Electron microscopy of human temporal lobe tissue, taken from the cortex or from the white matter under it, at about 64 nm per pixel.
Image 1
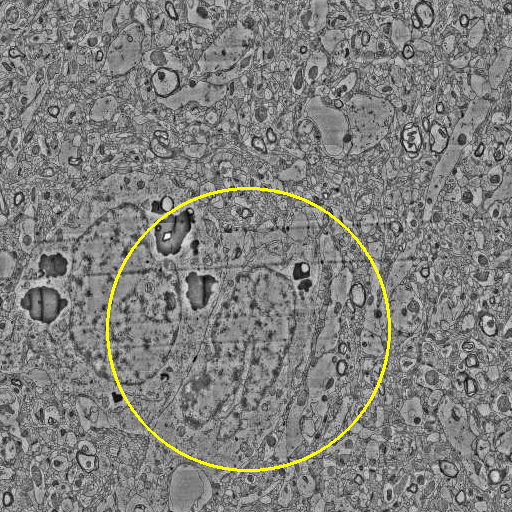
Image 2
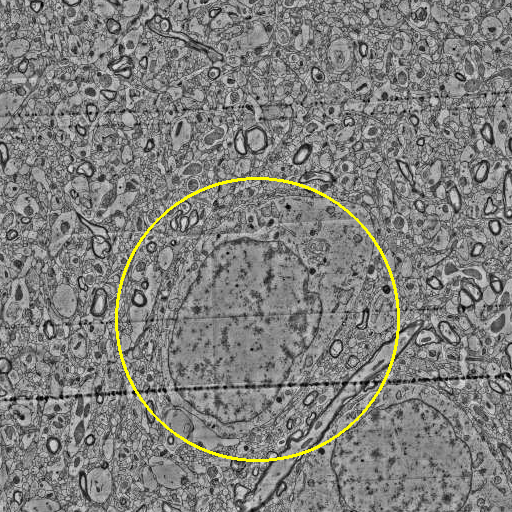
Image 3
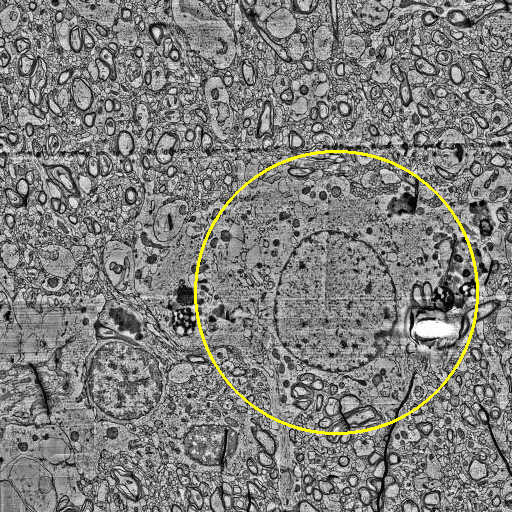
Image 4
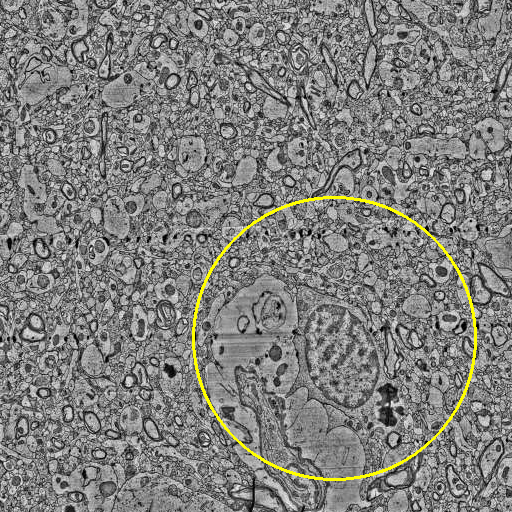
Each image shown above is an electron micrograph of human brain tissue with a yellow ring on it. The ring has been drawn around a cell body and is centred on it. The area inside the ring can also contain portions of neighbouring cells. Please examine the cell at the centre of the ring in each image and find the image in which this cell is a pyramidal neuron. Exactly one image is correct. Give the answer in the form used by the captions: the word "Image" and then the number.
Image 2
